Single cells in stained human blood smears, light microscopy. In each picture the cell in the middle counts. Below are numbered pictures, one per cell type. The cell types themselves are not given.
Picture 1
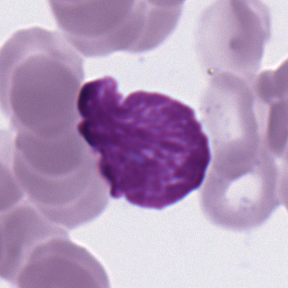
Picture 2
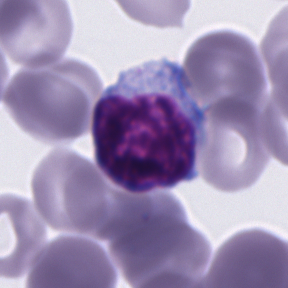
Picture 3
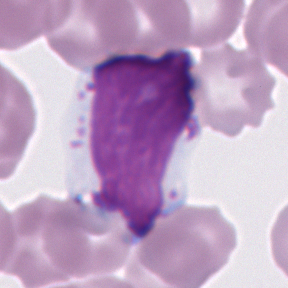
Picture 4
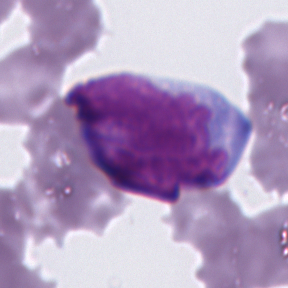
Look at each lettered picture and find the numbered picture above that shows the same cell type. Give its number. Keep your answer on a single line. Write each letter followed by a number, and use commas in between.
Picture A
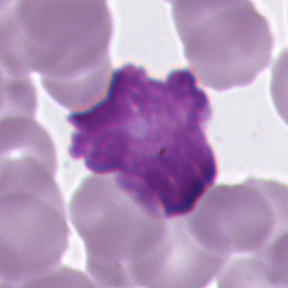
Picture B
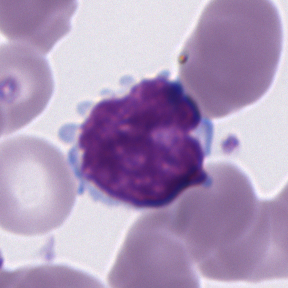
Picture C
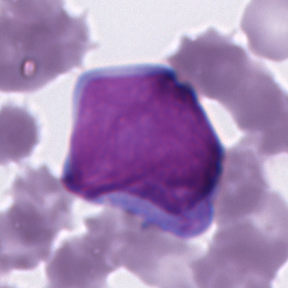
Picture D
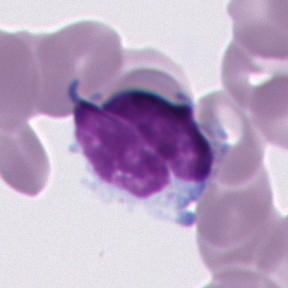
A 1, B 2, C 4, D 3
